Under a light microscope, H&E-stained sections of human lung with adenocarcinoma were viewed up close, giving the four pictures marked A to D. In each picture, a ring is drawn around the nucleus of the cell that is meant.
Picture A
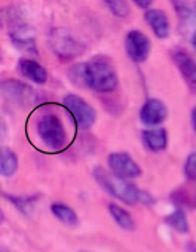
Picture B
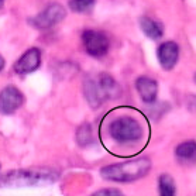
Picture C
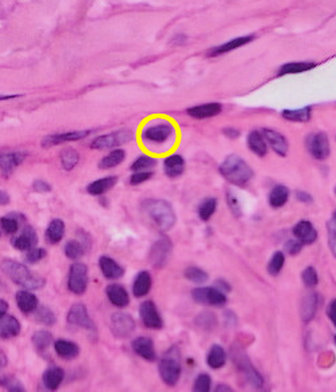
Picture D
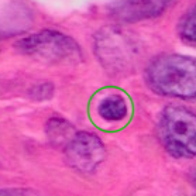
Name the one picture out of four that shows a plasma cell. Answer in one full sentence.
The plasma cell is the one in picture A.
